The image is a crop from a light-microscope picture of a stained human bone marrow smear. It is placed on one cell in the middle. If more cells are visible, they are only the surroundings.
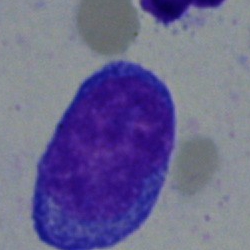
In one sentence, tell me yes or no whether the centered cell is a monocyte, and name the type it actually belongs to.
No, the central cell is classed as a blast, not a monocyte.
